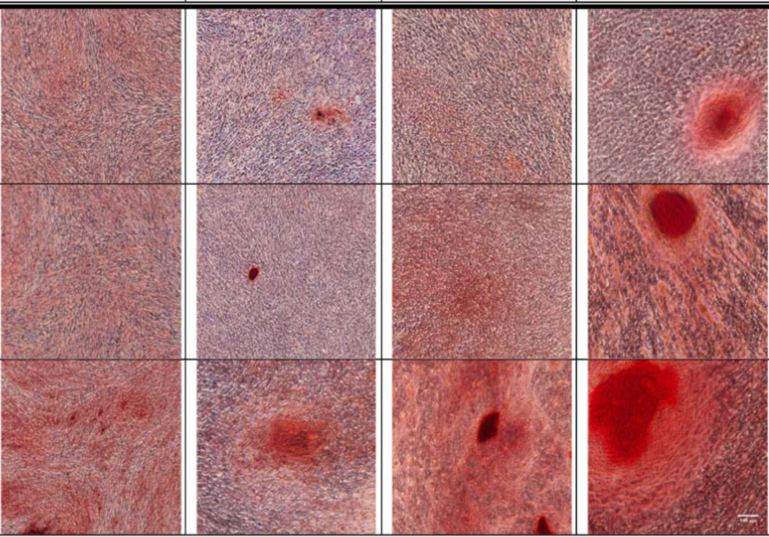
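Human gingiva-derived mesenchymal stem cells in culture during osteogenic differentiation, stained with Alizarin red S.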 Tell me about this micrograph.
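The deposits range from small dots to large, irregular red masses with a paler pink halo, and the cells around them are packed densely. Elsewhere the layer has only a diffuse pale pink to reddish tint.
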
